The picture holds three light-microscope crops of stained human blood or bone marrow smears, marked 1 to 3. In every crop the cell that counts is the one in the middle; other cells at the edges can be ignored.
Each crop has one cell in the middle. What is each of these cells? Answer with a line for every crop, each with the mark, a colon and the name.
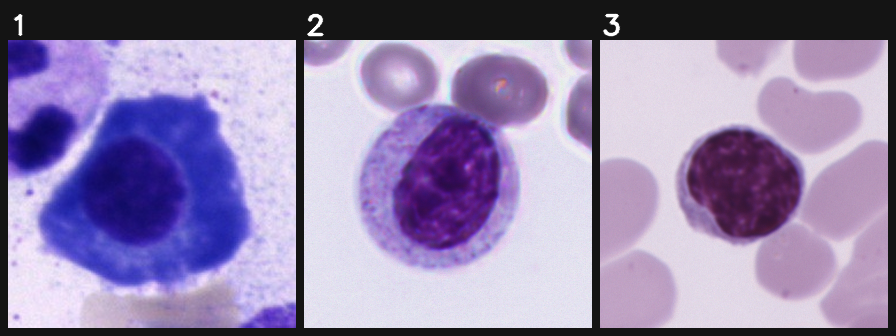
1: plasma cell
2: myelocyte
3: blast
